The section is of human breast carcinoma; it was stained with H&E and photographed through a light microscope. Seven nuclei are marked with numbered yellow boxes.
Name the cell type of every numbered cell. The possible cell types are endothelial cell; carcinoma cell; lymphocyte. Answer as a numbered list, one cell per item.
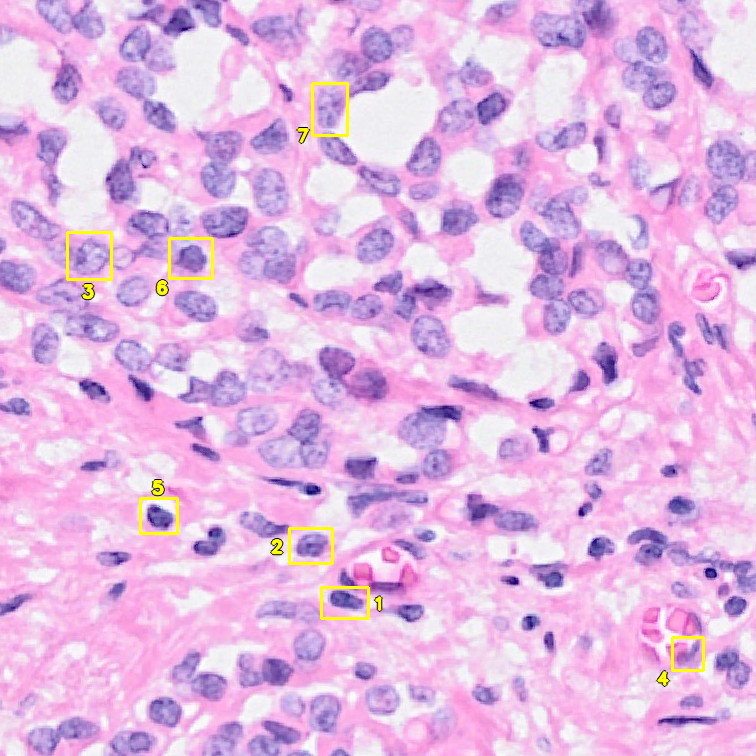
1. lymphocyte
2. lymphocyte
3. carcinoma cell
4. endothelial cell
5. lymphocyte
6. carcinoma cell
7. carcinoma cell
